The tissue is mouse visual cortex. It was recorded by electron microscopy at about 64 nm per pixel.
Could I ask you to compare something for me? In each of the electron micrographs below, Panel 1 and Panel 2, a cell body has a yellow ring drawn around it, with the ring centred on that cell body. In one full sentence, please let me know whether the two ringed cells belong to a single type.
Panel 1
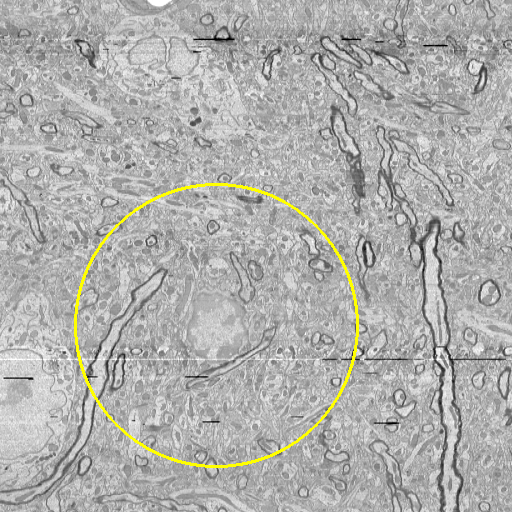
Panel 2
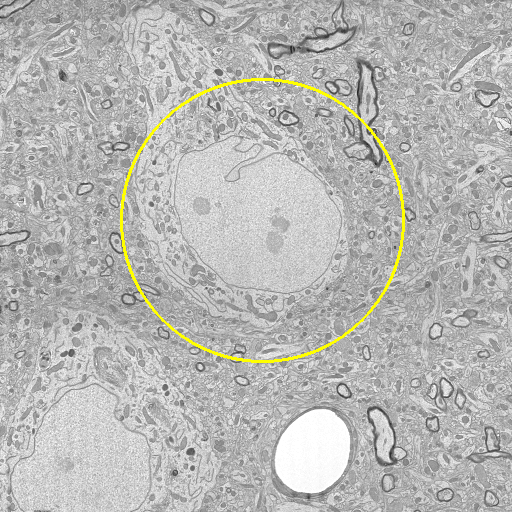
No, the two cells at the centres of the rings are of two types.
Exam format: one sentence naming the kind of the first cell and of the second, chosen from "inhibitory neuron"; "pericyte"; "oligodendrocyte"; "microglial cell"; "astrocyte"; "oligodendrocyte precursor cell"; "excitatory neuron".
The first picture's cell is an oligodendrocyte, and the second picture's cell is an excitatory neuron.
